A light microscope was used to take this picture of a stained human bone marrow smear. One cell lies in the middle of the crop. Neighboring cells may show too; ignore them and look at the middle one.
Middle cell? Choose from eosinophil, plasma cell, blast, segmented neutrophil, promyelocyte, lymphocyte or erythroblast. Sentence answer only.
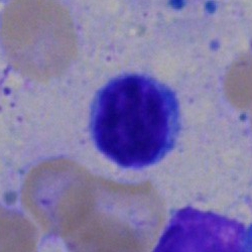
The middle position in this crop is taken by a lymphocyte.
